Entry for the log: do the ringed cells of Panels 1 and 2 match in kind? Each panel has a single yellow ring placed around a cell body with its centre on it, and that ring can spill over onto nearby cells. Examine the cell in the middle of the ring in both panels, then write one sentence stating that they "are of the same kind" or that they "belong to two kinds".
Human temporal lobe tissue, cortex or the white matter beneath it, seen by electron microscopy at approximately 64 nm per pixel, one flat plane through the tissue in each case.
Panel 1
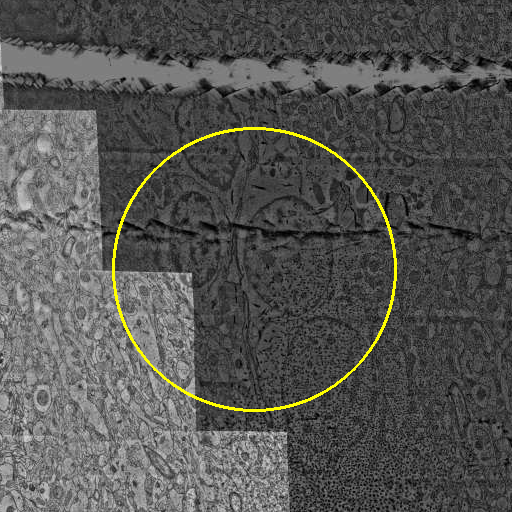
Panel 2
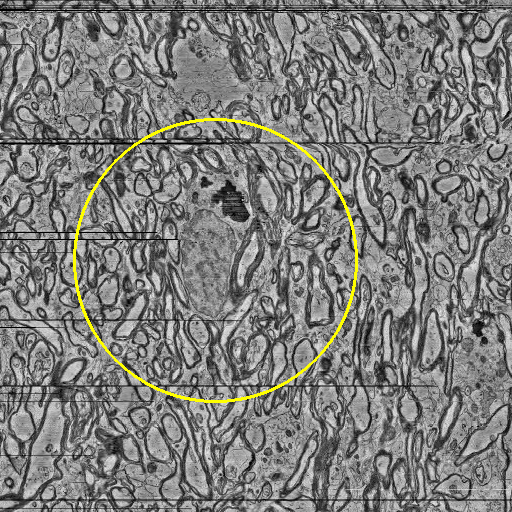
The centre cell of Panel 1's ring and that of Panel 2's ring belong to two kinds.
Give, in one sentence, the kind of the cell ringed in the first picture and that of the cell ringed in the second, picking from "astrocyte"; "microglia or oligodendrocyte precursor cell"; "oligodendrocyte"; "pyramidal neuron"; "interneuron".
For the first picture it is an astrocyte; for the second, an oligodendrocyte.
